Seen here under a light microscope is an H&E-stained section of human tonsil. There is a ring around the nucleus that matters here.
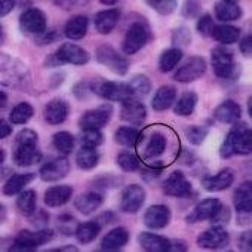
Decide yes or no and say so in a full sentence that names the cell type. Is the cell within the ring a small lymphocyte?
Yes, that the cell within the ring is a small lymphocyte is correct.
